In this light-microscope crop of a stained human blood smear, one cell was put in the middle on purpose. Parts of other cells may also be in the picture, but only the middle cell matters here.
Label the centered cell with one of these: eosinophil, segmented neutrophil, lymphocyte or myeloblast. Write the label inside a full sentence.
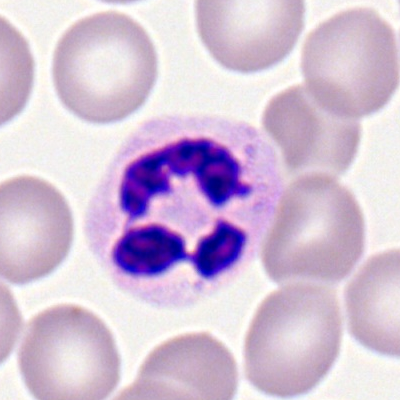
The cell under consideration, at the middle of the crop, is a segmented neutrophil.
